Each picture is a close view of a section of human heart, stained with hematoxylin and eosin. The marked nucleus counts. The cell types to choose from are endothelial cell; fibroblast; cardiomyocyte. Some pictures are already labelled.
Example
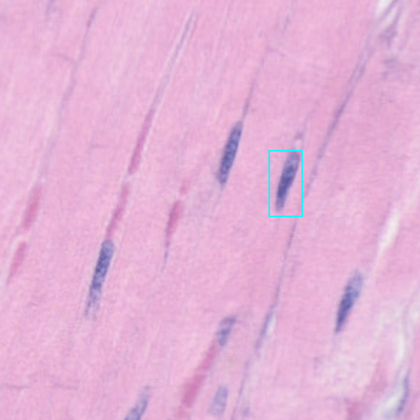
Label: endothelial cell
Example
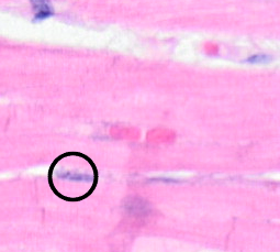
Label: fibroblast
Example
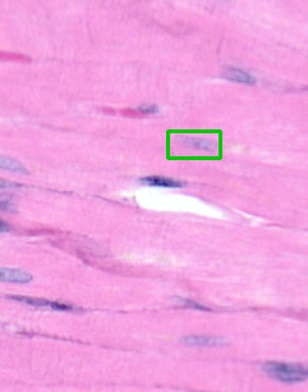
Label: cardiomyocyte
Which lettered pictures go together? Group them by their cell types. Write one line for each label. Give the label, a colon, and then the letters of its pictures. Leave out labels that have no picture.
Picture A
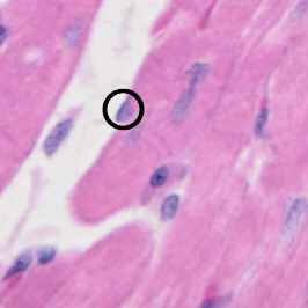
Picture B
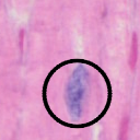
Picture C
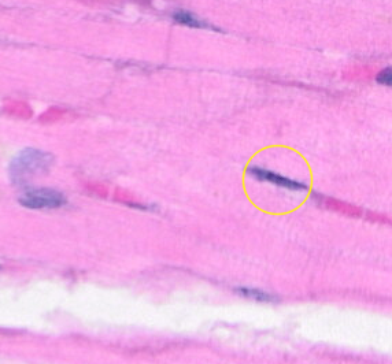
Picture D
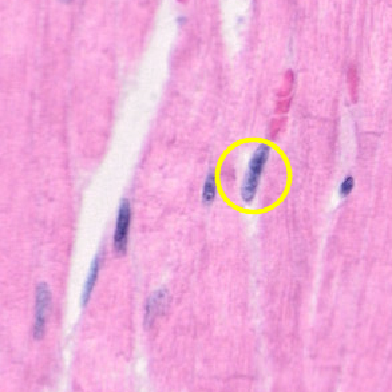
endothelial cell: C
fibroblast: A, D
cardiomyocyte: B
